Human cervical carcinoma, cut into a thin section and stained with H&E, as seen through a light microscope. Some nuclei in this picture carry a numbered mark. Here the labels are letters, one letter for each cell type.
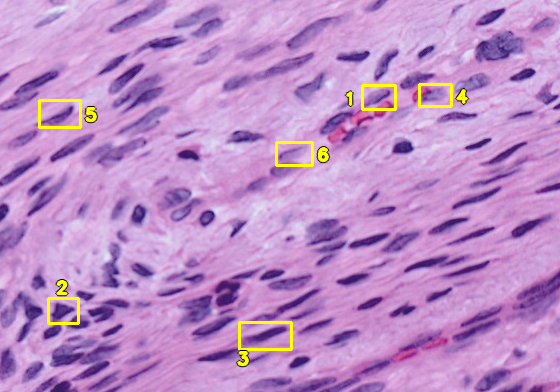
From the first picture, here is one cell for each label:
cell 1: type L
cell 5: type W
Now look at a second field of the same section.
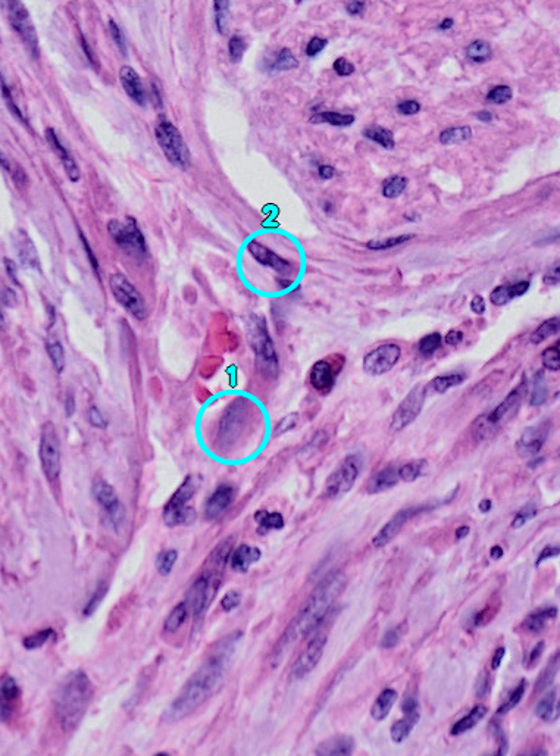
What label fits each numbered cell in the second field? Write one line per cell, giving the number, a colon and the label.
1: type L
2: type W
